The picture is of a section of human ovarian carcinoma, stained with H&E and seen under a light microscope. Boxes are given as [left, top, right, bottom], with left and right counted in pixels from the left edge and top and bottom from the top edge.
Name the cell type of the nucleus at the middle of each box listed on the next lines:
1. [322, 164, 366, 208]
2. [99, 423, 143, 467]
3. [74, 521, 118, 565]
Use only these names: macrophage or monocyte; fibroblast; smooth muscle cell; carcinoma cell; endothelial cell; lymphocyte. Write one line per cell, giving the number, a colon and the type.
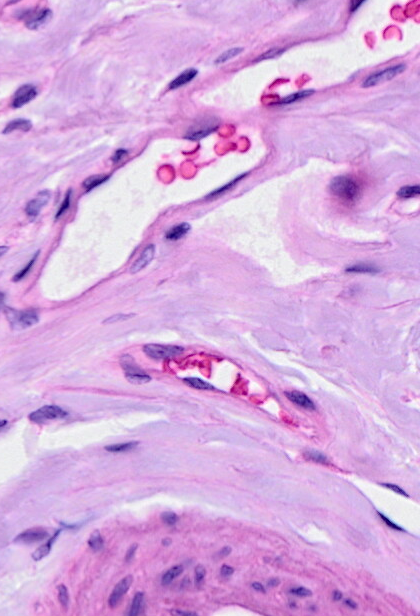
1: endothelial cell
2: fibroblast
3: smooth muscle cell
